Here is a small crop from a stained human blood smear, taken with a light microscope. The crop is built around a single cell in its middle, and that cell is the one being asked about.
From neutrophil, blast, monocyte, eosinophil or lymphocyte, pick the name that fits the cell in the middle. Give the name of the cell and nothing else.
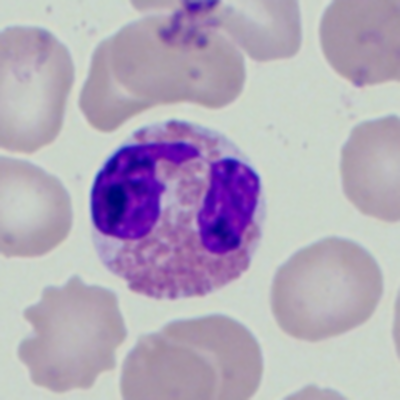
eosinophil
